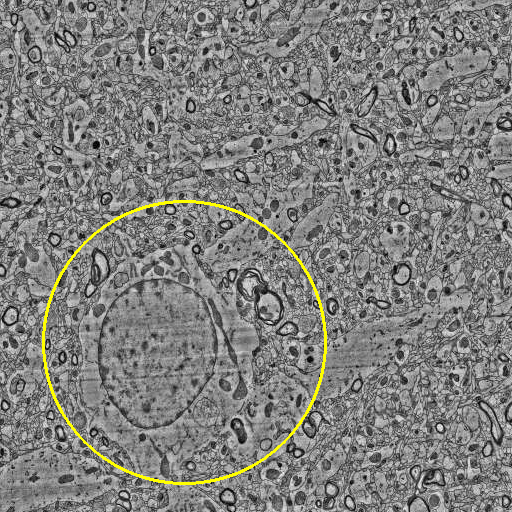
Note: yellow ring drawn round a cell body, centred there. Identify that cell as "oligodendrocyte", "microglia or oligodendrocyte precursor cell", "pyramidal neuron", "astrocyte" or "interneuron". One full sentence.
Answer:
The cell in the middle of the ring is an astrocyte.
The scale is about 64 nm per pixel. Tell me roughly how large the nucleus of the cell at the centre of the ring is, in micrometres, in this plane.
In this plane the nucleus measures roughly 10 by 8 micrometres.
